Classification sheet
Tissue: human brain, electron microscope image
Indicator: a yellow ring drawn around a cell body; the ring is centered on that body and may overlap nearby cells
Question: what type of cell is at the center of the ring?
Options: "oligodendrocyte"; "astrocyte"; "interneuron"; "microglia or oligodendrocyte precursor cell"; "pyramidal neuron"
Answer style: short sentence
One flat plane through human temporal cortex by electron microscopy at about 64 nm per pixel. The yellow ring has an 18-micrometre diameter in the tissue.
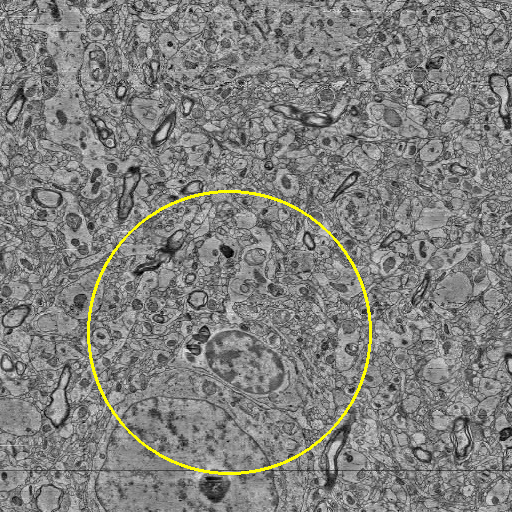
At the ring's center is a microglial cell or oligodendrocyte precursor cell.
